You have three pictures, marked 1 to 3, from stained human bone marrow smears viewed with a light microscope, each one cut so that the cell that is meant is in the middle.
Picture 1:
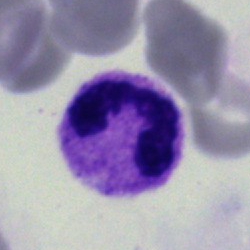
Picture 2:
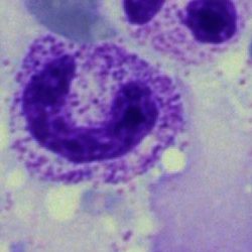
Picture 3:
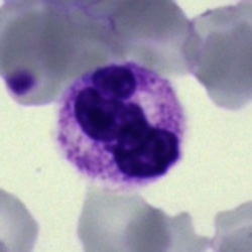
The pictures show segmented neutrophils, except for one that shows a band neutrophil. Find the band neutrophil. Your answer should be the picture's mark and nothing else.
2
